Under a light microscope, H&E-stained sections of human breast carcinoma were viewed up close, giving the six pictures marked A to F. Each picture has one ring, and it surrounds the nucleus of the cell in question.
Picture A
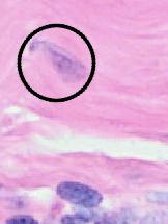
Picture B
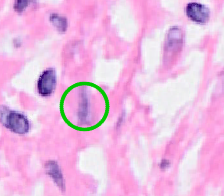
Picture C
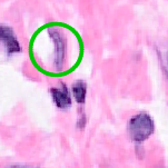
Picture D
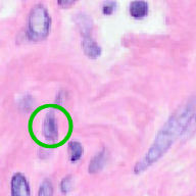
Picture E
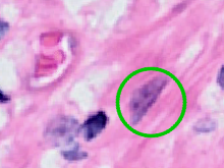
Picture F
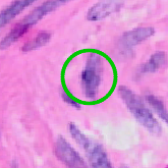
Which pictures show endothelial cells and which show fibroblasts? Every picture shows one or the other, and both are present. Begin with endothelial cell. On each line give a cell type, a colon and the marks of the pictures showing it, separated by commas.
endothelial cell: C, D, F
fibroblast: A, B, E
